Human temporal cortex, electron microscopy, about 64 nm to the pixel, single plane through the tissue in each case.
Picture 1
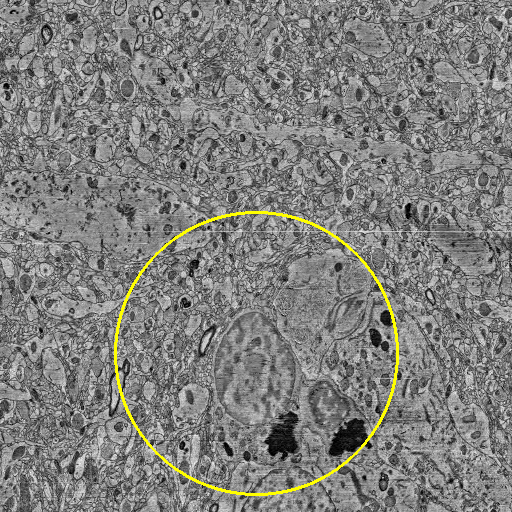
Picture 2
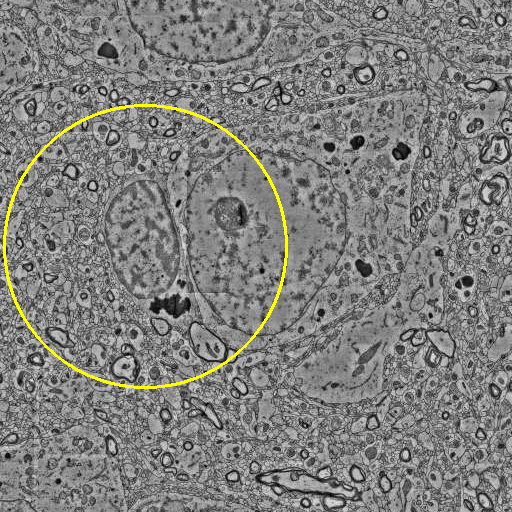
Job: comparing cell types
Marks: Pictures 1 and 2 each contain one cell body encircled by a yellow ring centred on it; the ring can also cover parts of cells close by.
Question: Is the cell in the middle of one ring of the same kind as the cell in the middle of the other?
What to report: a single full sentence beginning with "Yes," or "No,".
Yes, the cell at the ring centre in Picture 1 and its partner in Picture 2 are of one kind.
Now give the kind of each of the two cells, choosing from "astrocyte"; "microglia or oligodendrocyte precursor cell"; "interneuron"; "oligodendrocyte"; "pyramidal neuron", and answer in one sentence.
In each of the two pictures, the ringed cell is an oligodendrocyte.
